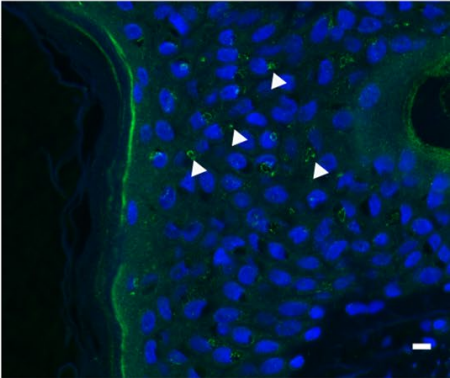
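A stratified epithelium of keratinocytes fills much of the field, its oval blue nuclei packed many layers deep and evenly spaced within faintly green cytoplasm. Along the left edge runs a bright green line at the outer surface, with dark, cell-poor material beyond it. Scattered among the deeper cells are small green rings and dots encircling or hugging individual cells, several of them in the middle of the sheet.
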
